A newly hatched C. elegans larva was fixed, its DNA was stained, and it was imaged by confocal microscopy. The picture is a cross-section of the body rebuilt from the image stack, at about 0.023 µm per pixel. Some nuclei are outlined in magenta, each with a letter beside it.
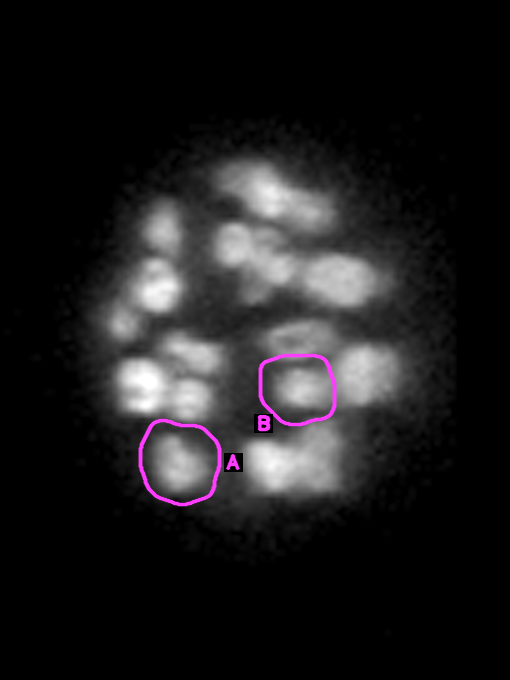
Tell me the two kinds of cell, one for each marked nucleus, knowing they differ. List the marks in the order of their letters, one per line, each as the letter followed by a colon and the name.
A: body wall muscle cell
B: pharyngeal epithelial cell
